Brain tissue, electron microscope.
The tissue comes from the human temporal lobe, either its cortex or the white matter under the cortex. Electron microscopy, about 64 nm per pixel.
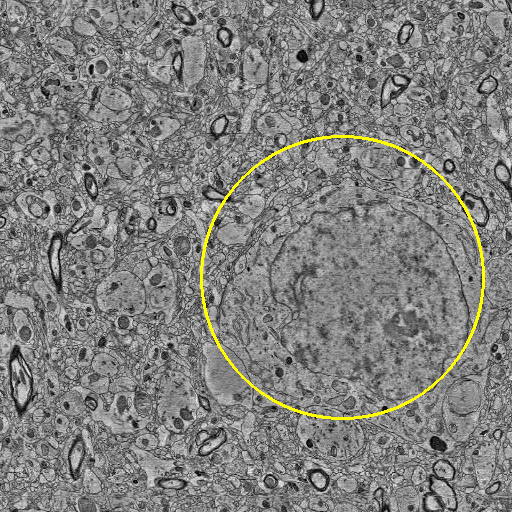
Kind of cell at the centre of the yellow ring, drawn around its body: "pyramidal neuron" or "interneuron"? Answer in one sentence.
The ring's centre falls on an interneuron.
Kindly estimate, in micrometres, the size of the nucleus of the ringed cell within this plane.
Roughly 14 by 12 micrometres in this plane, for the nucleus of the ringed cell.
